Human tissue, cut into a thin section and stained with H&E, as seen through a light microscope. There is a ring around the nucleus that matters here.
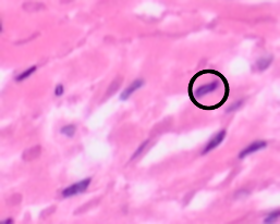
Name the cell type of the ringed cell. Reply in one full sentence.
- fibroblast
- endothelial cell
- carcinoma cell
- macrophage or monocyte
In the tissue under study, the ringed cell is a fibroblast.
